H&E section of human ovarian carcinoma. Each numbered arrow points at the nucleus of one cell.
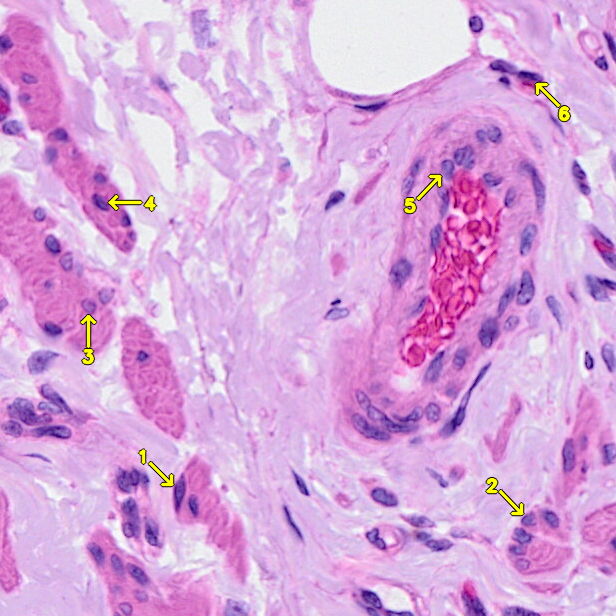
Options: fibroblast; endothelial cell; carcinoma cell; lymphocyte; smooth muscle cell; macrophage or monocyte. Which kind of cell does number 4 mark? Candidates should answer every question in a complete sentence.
The numeral 4 marks a smooth muscle cell in this section.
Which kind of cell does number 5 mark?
Heads up, the cell numbered 5 is an endothelial cell.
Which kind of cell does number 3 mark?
The correct label for cell 3 is a smooth muscle cell.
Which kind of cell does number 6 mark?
Number 6 among the marked cells is an endothelial cell.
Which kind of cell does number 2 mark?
The cell that carries the label 2 is a smooth muscle cell.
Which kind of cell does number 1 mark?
Number 1 among the marked cells is a smooth muscle cell.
